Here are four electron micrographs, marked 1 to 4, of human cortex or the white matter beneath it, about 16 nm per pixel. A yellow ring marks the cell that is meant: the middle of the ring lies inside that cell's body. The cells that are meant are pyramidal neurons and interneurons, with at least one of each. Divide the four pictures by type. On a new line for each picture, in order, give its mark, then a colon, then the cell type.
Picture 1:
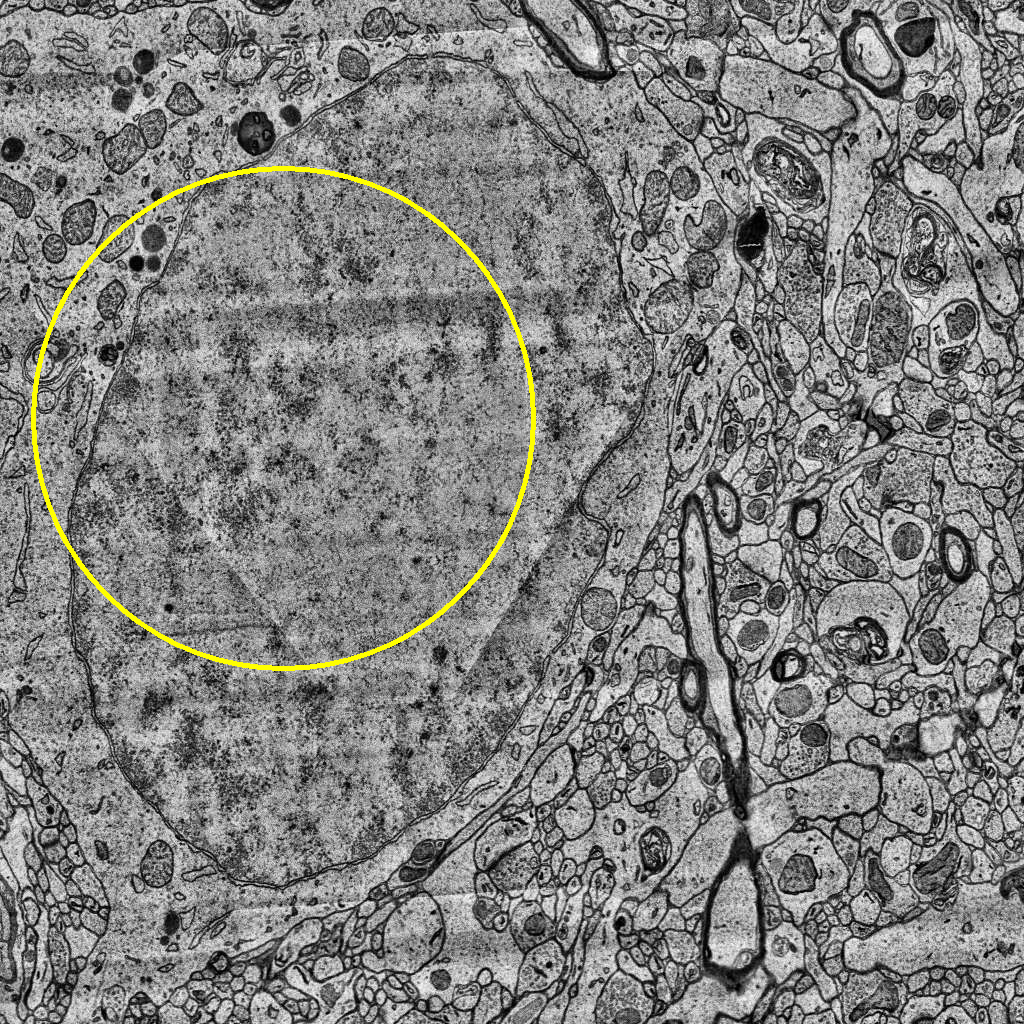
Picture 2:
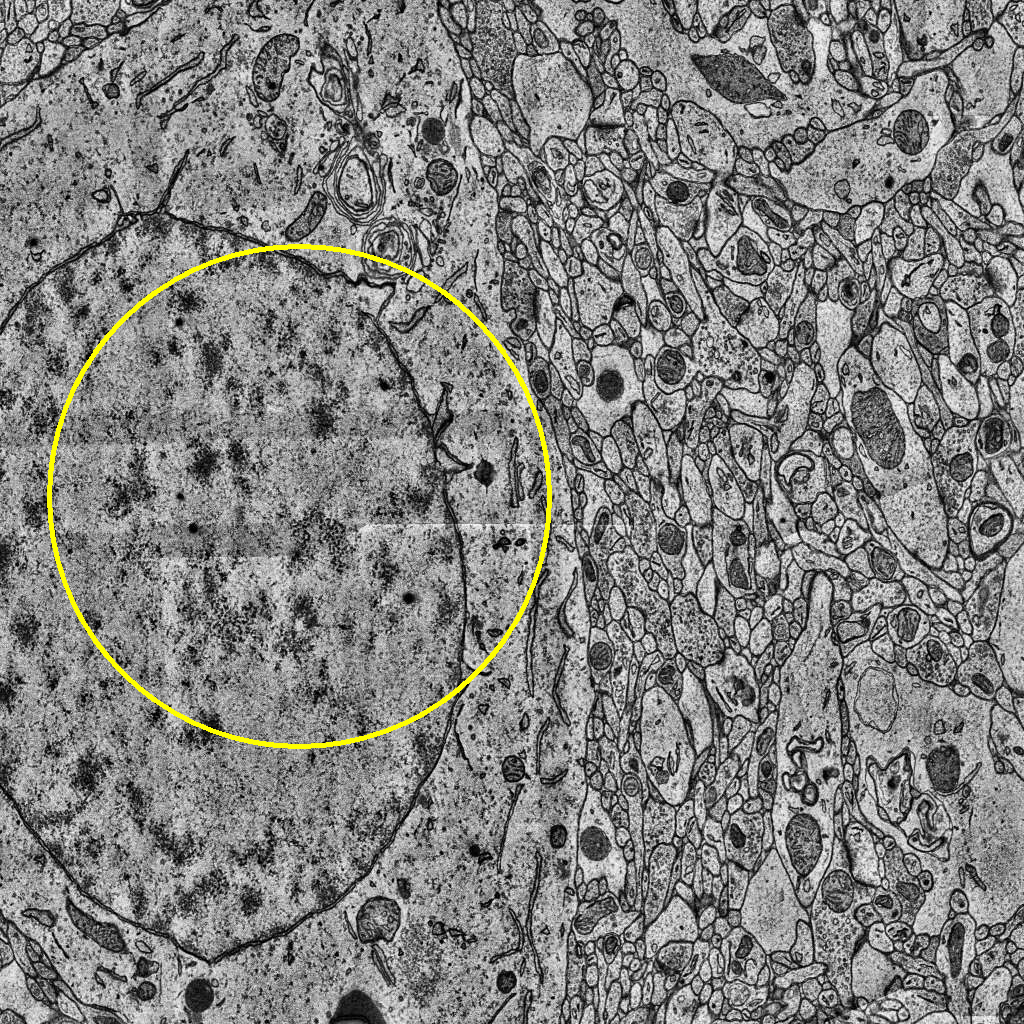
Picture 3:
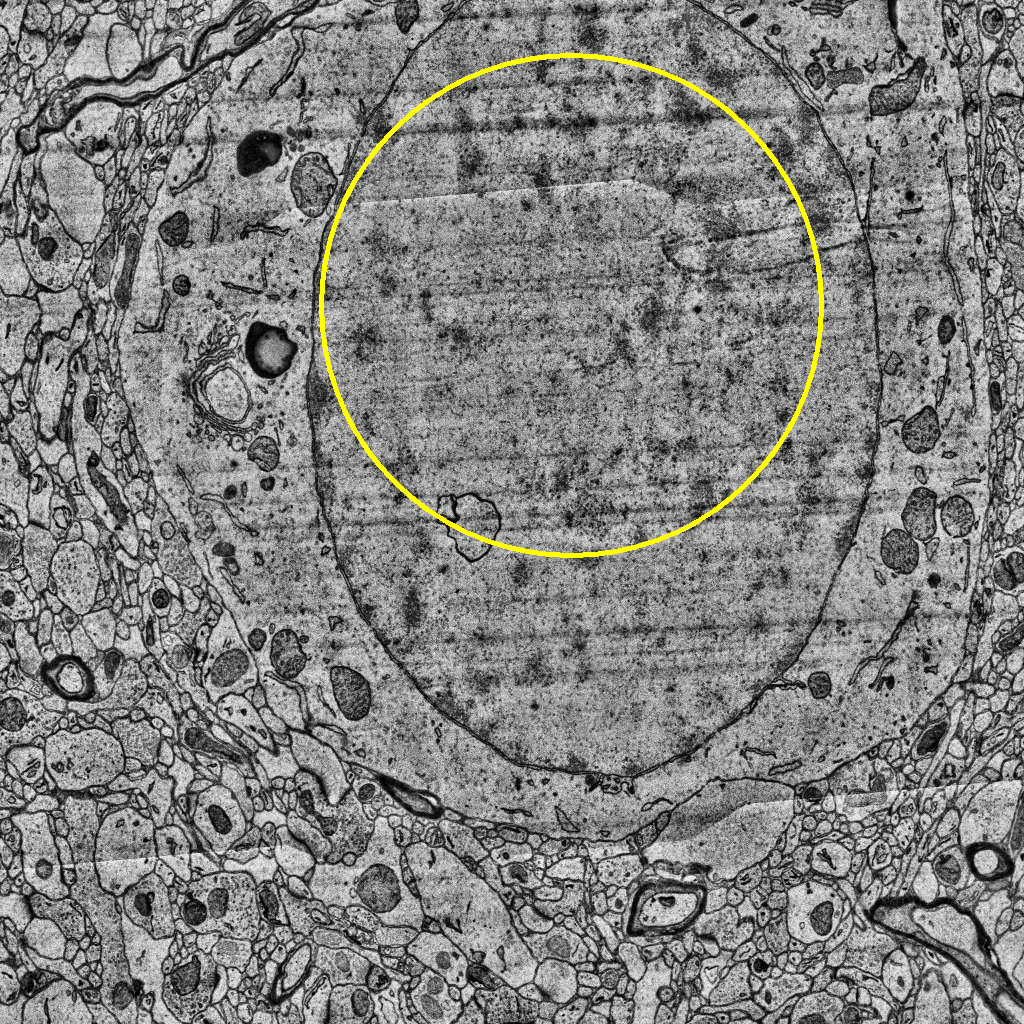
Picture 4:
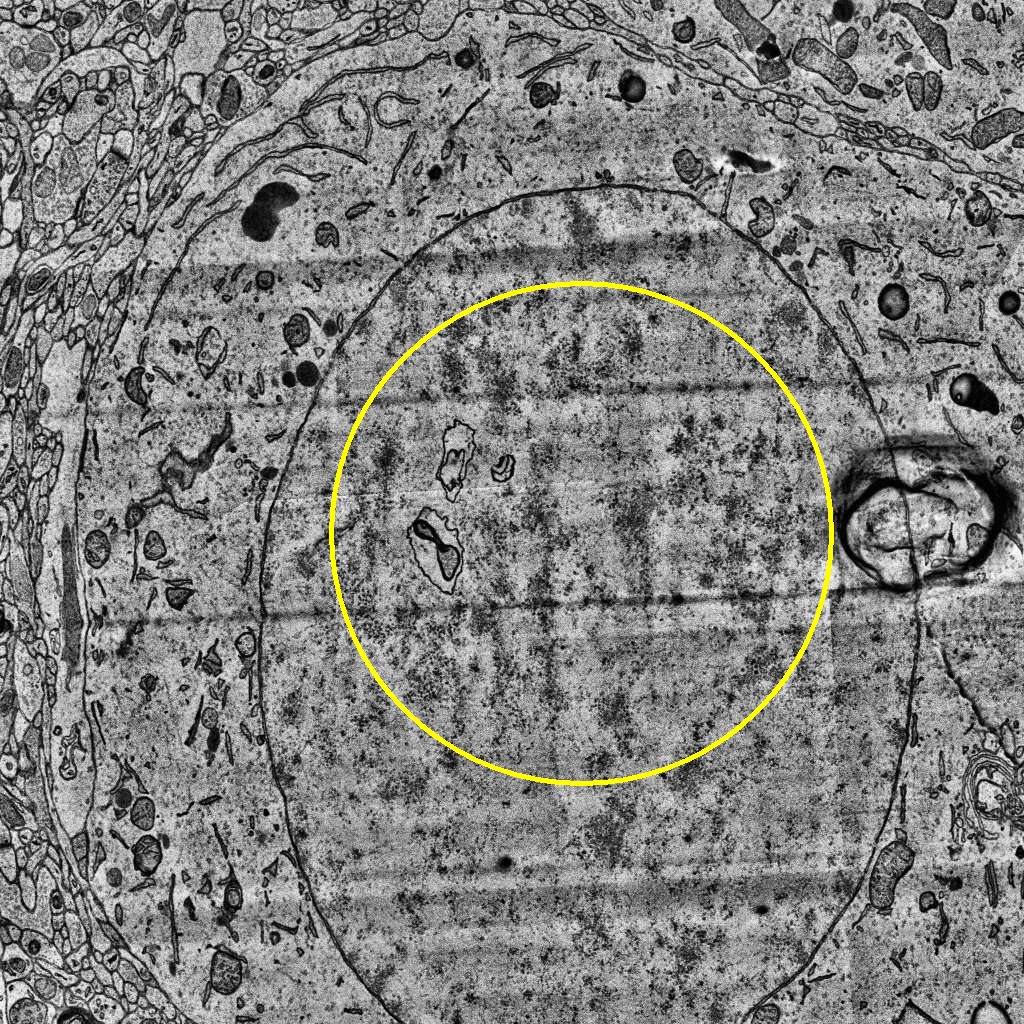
1: interneuron
2: pyramidal neuron
3: pyramidal neuron
4: pyramidal neuron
